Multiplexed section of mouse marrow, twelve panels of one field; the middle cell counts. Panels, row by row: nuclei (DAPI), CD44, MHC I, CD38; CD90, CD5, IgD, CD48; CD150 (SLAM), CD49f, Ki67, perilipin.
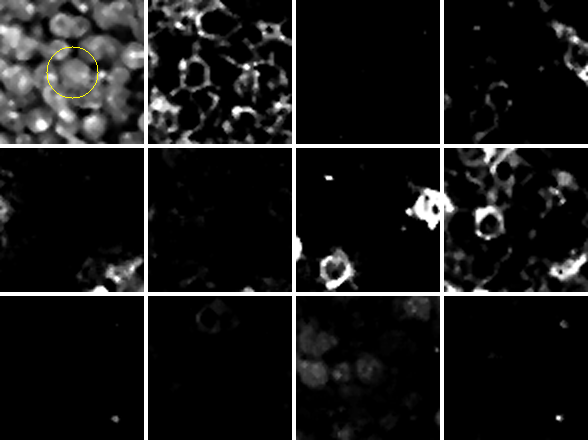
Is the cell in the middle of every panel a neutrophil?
No, it is an erythroblast.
